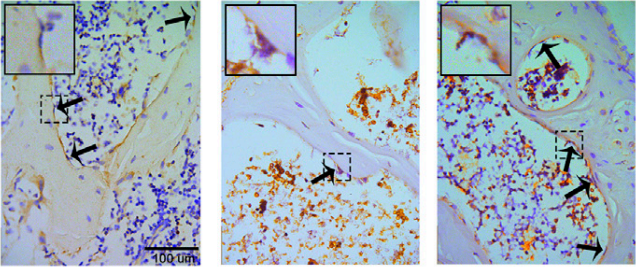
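The pale, smooth areas are bone, and the spaces between them are filled with marrow cells whose nuclei are dark purple-blue. The arrows point to cells lying in a thin layer along the bone edges, brown in their bodies with purple nuclei, as the insets enlarge. In the left and right images such lining cells are pointed out at several places on the bone margin, while the middle image shows only one. Brown clumps also lie scattered in the marrow, away from the bone surface.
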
